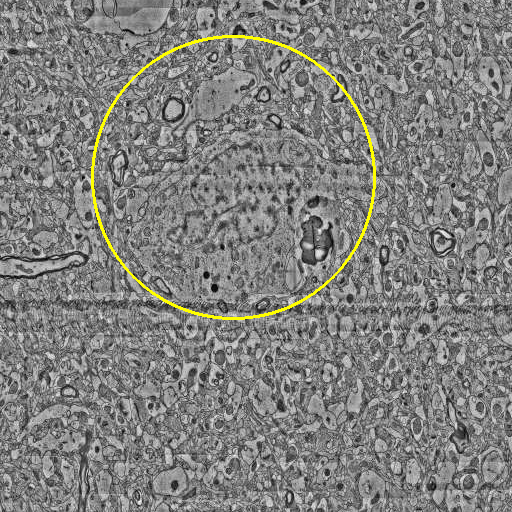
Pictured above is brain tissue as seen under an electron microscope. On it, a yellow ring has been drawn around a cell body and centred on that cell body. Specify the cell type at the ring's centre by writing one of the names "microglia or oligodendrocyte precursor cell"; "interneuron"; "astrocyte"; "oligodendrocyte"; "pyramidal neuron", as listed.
interneuron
